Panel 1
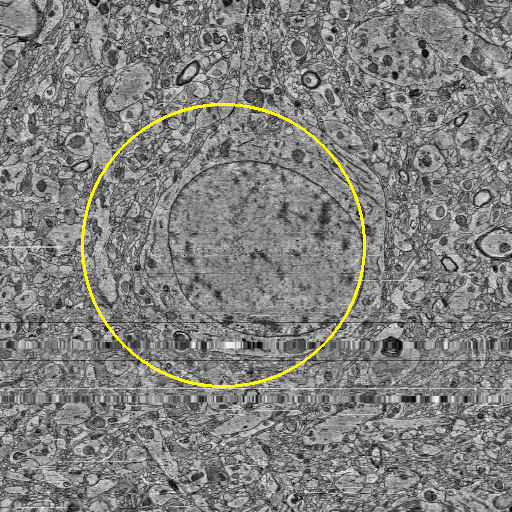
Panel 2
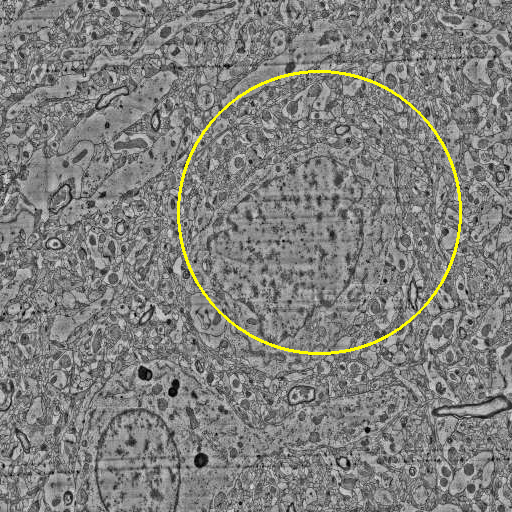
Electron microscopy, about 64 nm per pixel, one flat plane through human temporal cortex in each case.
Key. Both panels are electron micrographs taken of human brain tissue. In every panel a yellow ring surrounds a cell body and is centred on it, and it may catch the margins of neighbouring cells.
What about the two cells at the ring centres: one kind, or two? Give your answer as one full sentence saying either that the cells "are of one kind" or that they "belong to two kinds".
Across Panels 1 and 2, the two cells at the ring centres belong to two kinds.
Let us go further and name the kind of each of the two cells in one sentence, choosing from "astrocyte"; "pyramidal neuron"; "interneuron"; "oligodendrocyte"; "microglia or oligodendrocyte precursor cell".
The ring of the first picture is on a pyramidal neuron, the ring of the second on an interneuron.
